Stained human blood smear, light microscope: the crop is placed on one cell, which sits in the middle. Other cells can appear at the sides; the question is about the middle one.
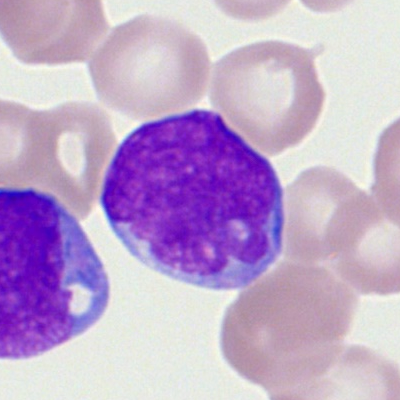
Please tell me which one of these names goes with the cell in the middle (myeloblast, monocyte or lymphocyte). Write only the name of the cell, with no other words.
myeloblast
